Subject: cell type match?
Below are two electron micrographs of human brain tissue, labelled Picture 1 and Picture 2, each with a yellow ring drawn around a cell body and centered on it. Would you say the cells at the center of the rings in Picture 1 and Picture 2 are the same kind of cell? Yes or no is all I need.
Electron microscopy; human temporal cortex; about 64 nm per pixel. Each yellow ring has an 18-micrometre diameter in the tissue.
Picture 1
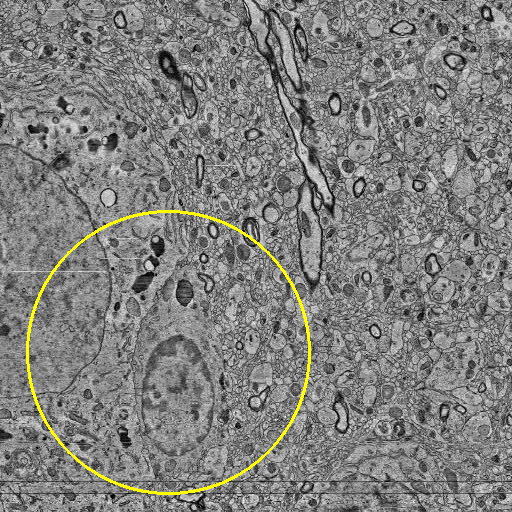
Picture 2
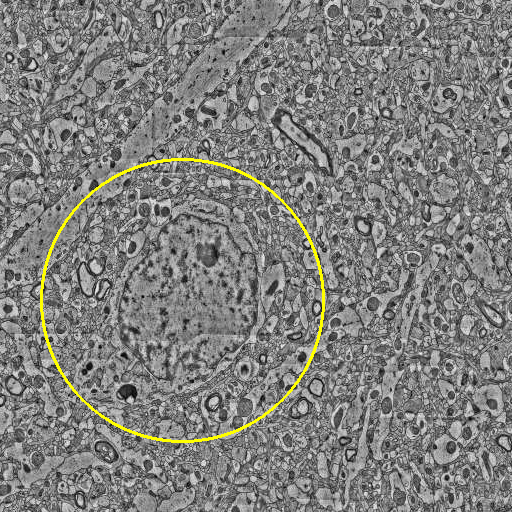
no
